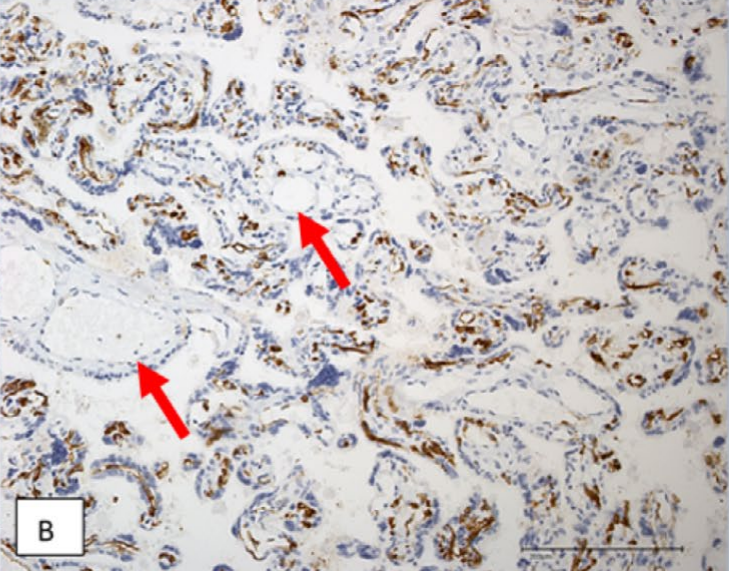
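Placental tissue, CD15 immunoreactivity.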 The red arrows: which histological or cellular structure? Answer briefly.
Vessels of stem villi.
